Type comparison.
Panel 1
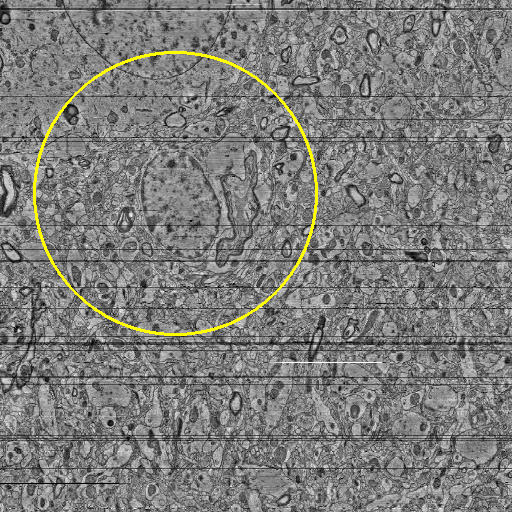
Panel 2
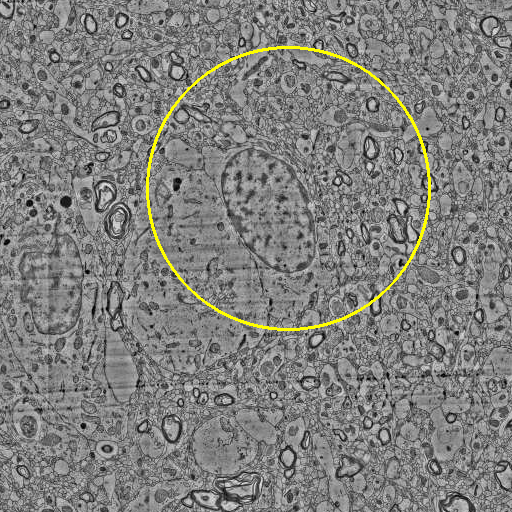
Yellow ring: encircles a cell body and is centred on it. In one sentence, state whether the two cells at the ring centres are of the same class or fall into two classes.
In these panels, the two cells at the ring centres are of the same class.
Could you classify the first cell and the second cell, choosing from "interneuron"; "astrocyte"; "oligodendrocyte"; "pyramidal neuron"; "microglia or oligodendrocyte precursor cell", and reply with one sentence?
Each of the two rings is centred on a microglial cell or oligodendrocyte precursor cell.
